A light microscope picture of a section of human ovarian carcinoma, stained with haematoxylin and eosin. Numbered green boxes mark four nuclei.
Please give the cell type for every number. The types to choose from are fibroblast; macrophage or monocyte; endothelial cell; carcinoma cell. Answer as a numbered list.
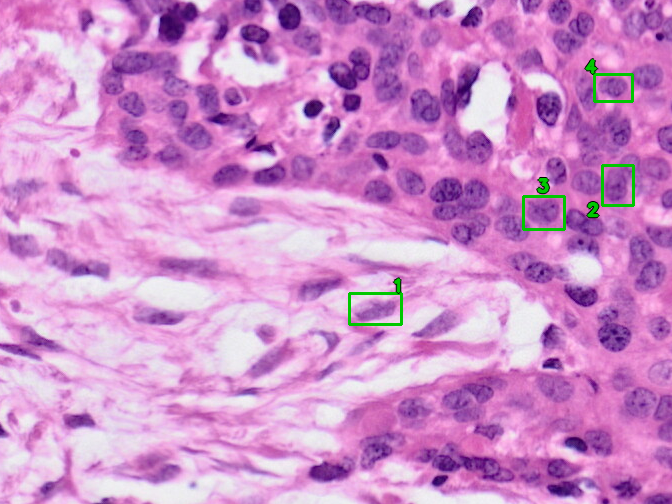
1. fibroblast
2. carcinoma cell
3. carcinoma cell
4. carcinoma cell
